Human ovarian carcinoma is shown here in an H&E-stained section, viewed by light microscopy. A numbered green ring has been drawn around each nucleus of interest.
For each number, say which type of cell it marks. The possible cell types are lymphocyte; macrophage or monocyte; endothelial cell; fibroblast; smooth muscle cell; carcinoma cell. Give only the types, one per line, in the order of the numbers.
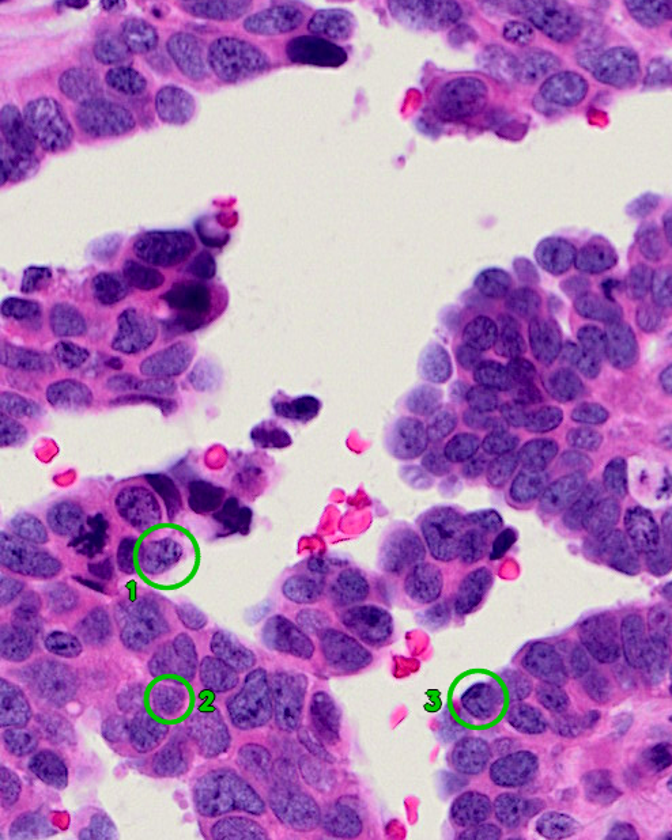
macrophage or monocyte
carcinoma cell
carcinoma cell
